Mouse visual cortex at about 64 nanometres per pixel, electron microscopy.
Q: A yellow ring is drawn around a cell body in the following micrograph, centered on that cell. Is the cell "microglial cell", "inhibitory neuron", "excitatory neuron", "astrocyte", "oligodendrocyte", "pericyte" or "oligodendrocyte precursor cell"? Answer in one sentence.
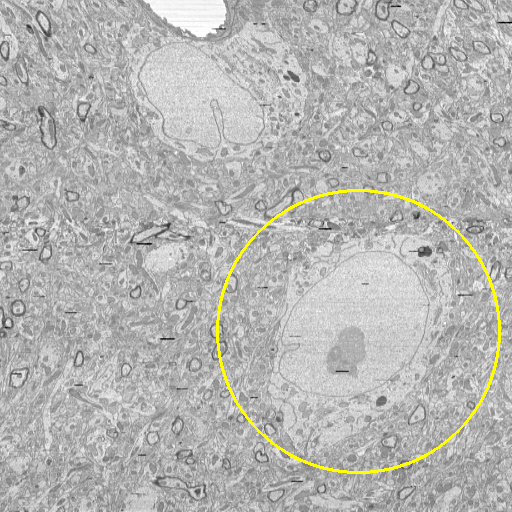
The cell in the center of the ring is an excitatory neuron.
